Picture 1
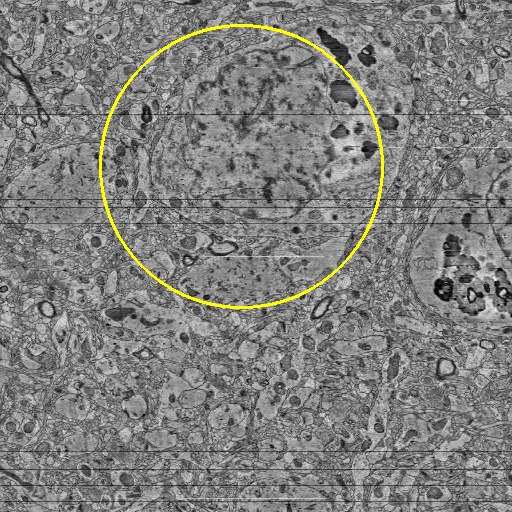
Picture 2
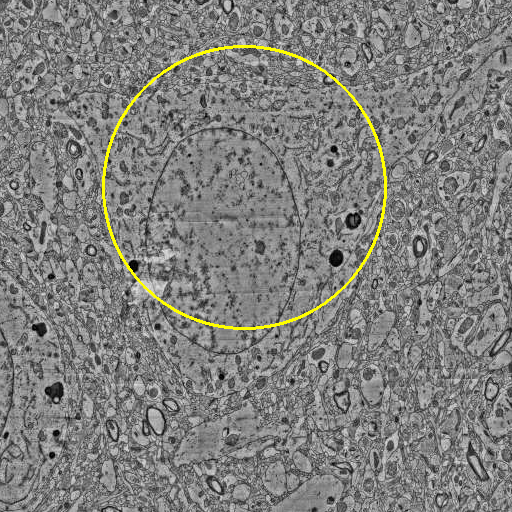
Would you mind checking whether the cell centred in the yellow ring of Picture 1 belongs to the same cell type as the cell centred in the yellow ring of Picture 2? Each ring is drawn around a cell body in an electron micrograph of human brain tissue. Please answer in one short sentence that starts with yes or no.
No, the two cells are of two types.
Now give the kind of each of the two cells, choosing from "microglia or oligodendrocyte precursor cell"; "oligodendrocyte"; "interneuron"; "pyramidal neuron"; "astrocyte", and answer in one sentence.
The cell in the first picture is an interneuron, and the cell in the second is a pyramidal neuron.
